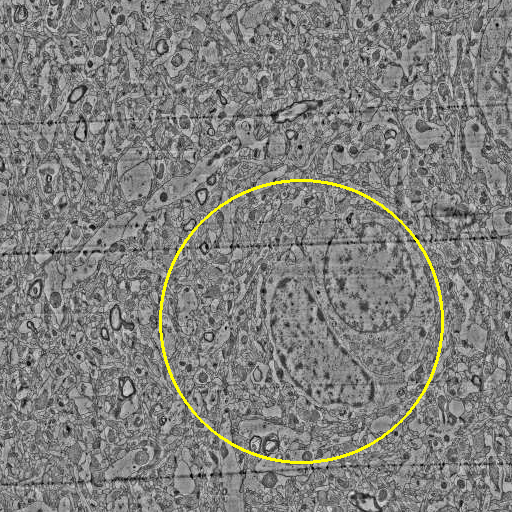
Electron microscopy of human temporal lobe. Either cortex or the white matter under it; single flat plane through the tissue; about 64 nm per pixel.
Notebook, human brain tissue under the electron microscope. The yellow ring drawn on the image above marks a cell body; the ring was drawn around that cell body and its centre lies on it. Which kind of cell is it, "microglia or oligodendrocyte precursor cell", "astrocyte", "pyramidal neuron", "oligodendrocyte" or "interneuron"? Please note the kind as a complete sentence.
The marked cell body is that of a microglial cell or oligodendrocyte precursor cell.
